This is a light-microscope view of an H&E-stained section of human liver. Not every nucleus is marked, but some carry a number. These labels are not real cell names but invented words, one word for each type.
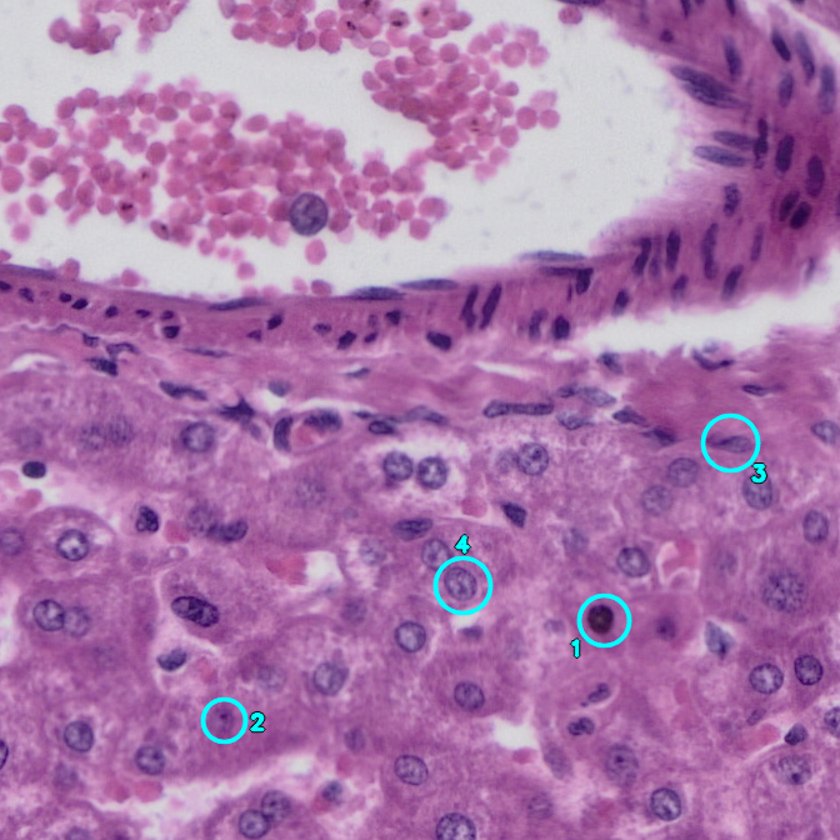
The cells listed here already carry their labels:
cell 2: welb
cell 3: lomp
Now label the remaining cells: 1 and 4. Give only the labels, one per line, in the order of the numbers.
welb
welb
